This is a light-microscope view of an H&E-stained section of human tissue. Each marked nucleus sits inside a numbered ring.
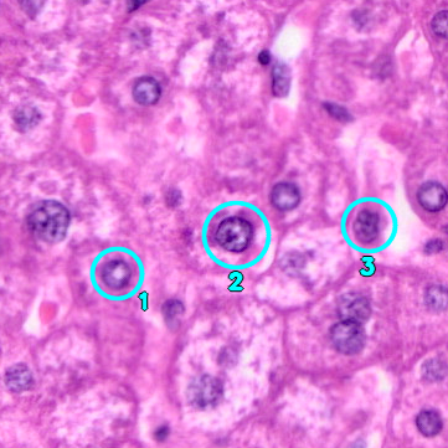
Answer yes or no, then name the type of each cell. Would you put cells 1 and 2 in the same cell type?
Yes, both are hepatocytes.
